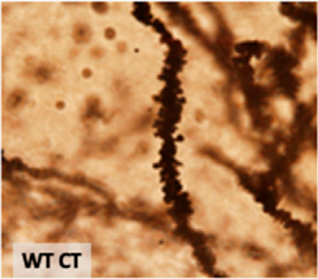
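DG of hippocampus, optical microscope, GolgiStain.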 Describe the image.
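A single long dendrite, stained very dark brown to black, runs roughly vertically and slightly diagonally through the field. Along its whole length it is covered by many short, closely set, knob-like protrusions that give it a rough, beaded outline; these are dendritic spines. Other dark, thinner processes cross the field at the edges, some partly out of focus.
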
